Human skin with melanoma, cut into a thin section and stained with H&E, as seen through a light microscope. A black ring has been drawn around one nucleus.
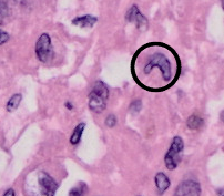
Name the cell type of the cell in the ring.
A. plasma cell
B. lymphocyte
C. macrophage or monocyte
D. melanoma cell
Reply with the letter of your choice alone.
C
